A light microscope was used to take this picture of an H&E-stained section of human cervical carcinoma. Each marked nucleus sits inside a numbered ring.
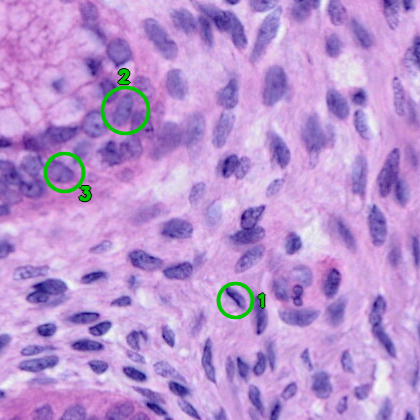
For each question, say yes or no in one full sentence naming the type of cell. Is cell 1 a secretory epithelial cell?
No, number 1 is not a secretory epithelial cell but a fibroblast.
